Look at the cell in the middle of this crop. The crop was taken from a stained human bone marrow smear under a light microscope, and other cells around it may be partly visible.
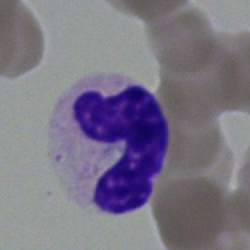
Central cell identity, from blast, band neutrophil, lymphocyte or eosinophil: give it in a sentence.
At the center of the crop sits a band neutrophil.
